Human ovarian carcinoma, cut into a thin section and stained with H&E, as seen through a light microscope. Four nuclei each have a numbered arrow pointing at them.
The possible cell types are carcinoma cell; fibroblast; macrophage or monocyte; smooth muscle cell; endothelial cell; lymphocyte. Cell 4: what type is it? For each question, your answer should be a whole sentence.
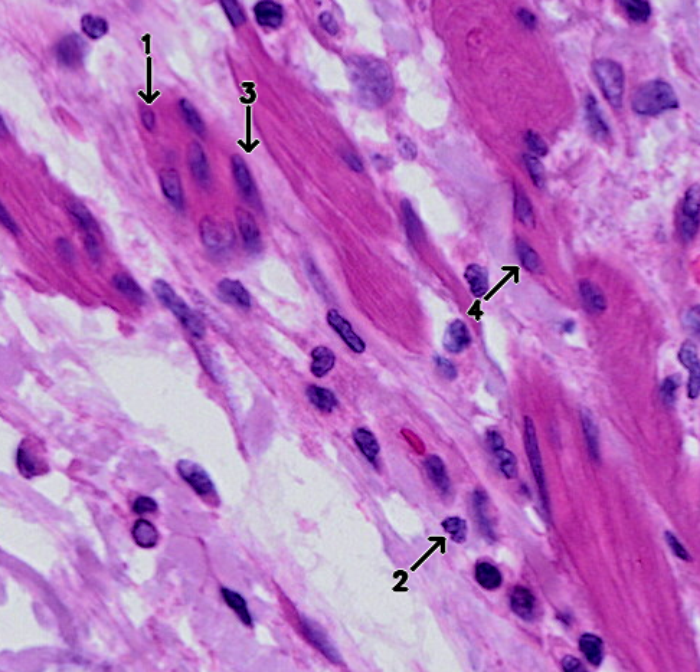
Number 4 among the marked cells is a smooth muscle cell.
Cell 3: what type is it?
The numeral 3 marks a smooth muscle cell in this section.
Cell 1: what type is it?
The cell identified by number 1 is a smooth muscle cell.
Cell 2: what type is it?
The correct answer for cell 2 is a lymphocyte.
